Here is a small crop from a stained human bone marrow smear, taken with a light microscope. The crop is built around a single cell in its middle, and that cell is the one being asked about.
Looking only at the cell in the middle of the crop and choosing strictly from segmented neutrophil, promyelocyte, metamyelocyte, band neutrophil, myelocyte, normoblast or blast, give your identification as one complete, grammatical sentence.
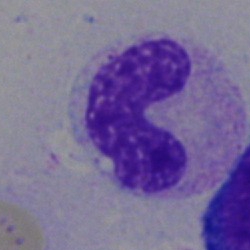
In this smear crop, the middle cell is a band neutrophil.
